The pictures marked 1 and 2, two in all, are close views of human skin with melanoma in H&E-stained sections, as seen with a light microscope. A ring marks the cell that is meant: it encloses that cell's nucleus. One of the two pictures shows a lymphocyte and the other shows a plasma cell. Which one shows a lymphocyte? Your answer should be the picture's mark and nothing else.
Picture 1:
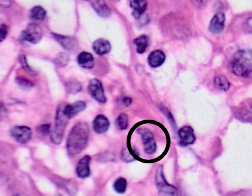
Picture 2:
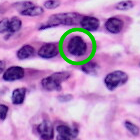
1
